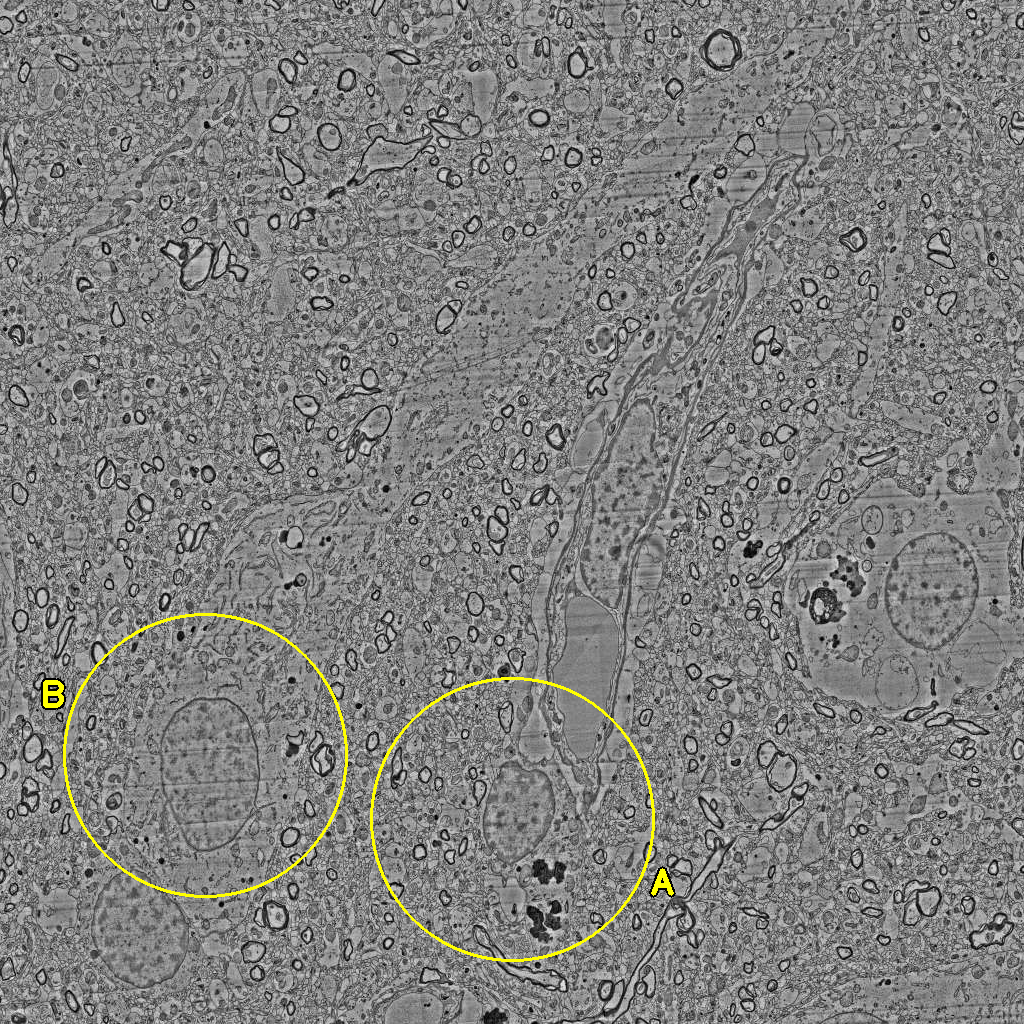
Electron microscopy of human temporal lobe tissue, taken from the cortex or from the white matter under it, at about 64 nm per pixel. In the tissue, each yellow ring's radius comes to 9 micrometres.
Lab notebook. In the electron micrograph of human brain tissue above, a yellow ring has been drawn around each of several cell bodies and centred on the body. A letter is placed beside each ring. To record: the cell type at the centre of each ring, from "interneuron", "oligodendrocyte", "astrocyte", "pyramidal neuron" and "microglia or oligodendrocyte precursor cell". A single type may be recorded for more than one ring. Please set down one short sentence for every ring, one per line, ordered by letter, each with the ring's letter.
The centre of ring A is occupied by an oligodendrocyte.
The centre of ring B is occupied by a pyramidal neuron.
